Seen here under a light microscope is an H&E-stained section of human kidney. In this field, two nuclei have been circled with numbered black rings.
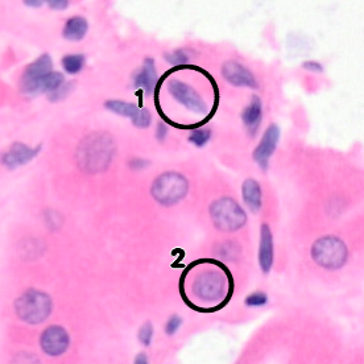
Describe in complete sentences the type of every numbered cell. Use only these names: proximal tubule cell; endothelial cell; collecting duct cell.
Cell 1 is an endothelial cell. Cell 2 is a proximal tubule cell.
